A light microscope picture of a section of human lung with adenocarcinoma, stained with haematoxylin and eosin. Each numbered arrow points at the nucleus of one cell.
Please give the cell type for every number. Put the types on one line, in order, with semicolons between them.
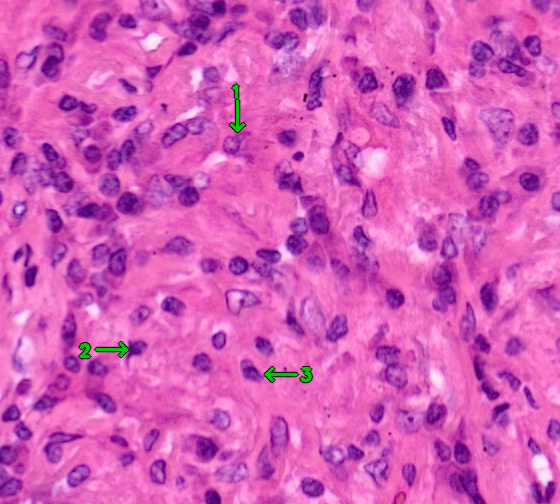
macrophage or monocyte; lymphocyte; lymphocyte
